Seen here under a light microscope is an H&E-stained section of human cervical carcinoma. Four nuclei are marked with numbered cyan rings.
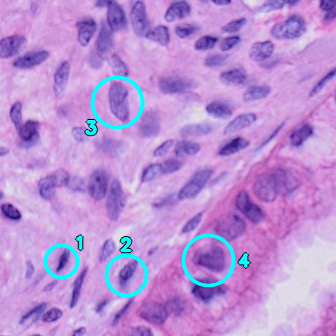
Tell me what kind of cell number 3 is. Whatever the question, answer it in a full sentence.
The cell numbered 3 represents a fibroblast.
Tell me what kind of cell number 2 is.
The expected answer is that cell 2 is a fibroblast.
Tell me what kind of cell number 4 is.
Number 4 among the marked cells is a secretory epithelial cell.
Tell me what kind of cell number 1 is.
Belonging to a fibroblast is the nucleus that carries the number 1.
